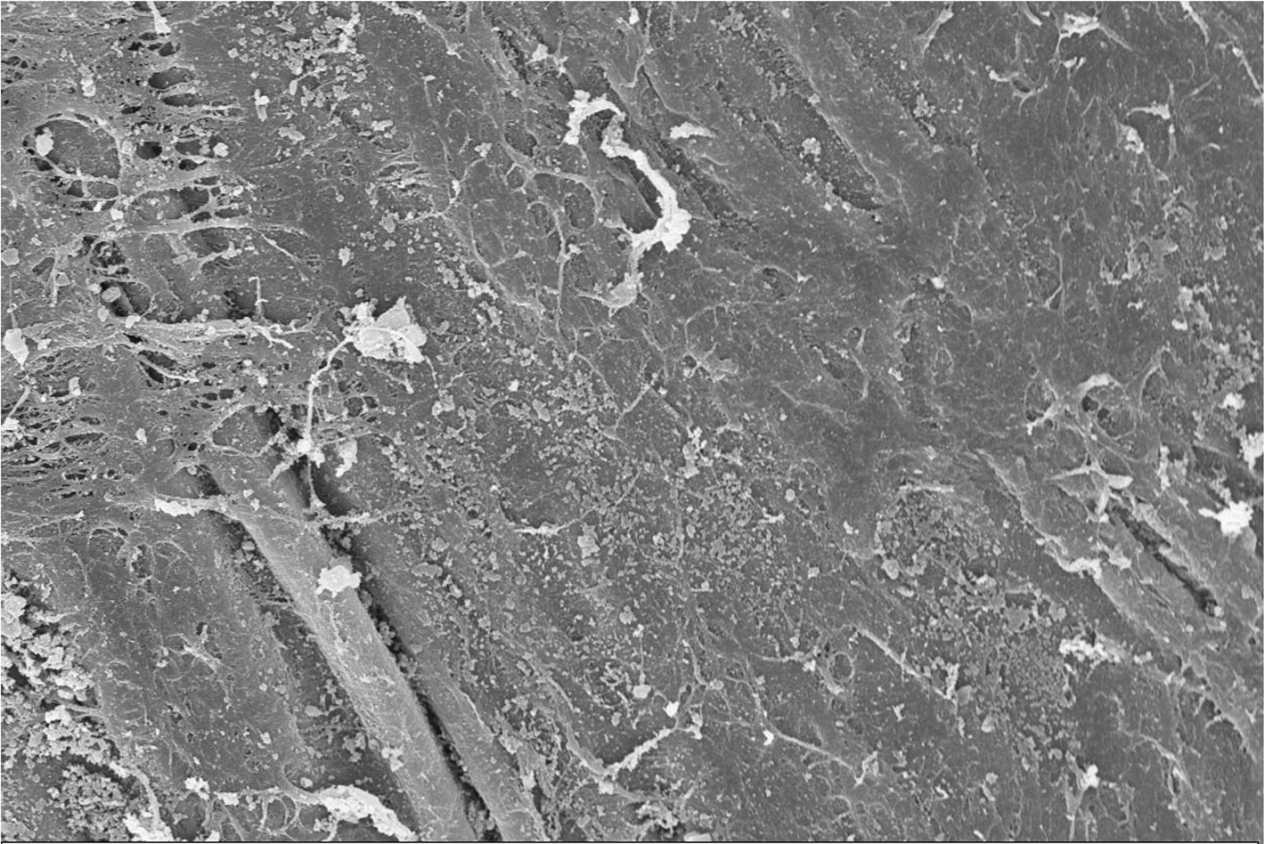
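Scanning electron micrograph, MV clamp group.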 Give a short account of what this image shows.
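This is the inner lining surface of a vessel seen from above. There is no continuous smooth sheet of flattened lining cells; the endothelial covering has come away. What lies exposed is the tissue beneath it. On the left side this underlying layer shows a loose, lacy network of fibres full of small holes, and thicker strands run diagonally across it. Toward the centre and right the surface is flatter and more compact, crossed by fine threads and wrinkles. Bright, irregular fragments and fine granular debris lie scattered over the surface, especially in the upper middle and along the left edge.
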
